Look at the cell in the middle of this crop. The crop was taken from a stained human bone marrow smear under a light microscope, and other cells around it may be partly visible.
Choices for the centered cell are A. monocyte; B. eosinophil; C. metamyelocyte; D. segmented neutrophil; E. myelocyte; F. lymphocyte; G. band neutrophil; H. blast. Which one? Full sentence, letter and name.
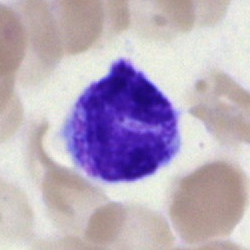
In this crop the central cell is a monocyte, which option A correctly states.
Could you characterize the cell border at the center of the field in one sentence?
Its outline is ragged or drawn out into projections, not smooth.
